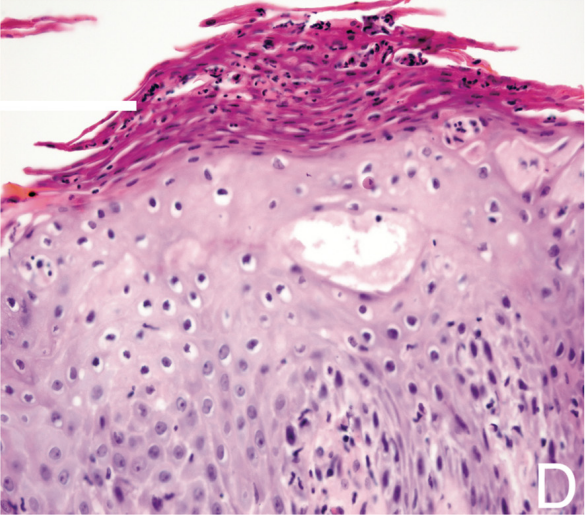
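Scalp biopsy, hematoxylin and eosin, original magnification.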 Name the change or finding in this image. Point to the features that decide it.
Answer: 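Parakeratosis. The pink, compact cornified layer at the top contains retained flattened dark nuclei. Nuclei persist in the cornified layer instead of it being anucleate.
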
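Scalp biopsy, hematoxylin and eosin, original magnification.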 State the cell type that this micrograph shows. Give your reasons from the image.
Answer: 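Neutrophils. Clusters of small, dark, lobed nuclei lie within the cornified layer. A few similar small dark nuclei lie between keratinocytes in the upper epidermis.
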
